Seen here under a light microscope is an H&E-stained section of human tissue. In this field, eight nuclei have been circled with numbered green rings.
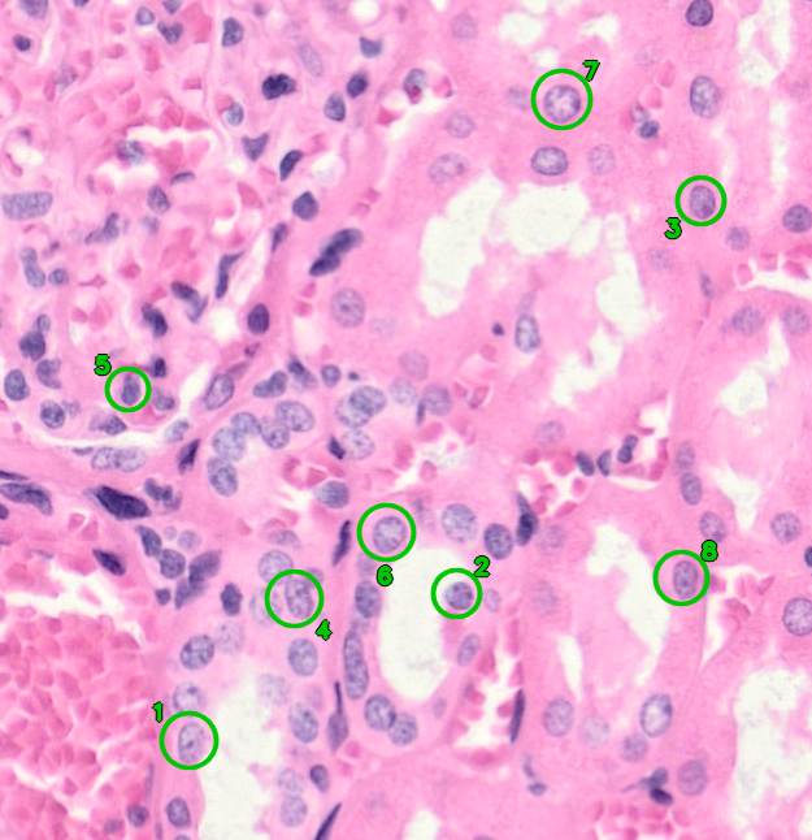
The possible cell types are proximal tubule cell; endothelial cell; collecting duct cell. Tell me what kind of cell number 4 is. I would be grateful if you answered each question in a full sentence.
The cell that bears the number 4 is a collecting duct cell.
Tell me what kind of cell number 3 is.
Within this field of view, the cell labelled 3 is a proximal tubule cell.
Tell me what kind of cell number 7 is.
The numeral 7 marks a proximal tubule cell in this section.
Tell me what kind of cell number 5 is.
Denoted by the label 5 in the section is an endothelial cell.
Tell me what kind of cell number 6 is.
Among the marked nuclei, number 6 belongs to a collecting duct cell.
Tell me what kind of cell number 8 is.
The nucleus with number 8 is that of a proximal tubule cell.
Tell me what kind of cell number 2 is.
Belonging to a collecting duct cell is the nucleus that carries the number 2.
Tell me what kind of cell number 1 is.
Marked with the number 1, this cell is a collecting duct cell.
